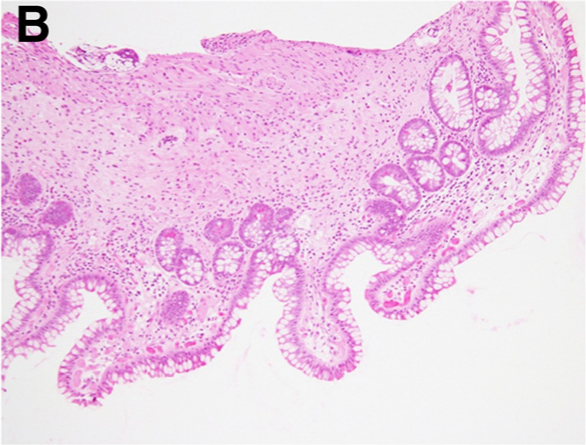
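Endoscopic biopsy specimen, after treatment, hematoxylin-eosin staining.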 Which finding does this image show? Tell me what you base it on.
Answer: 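Fibrosis. Pale pink, fibrillar stroma with spindle-shaped nuclei occupies much of the mucosa. Crypts are confined to a band near the surface.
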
